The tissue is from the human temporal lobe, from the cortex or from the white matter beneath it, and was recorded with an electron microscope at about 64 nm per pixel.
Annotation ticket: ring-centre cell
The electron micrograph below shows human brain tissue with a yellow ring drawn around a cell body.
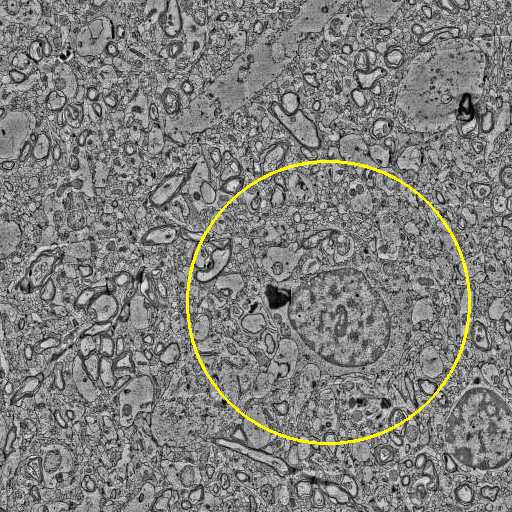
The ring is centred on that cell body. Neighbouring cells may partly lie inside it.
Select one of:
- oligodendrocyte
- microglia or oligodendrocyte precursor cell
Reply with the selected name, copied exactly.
oligodendrocyte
